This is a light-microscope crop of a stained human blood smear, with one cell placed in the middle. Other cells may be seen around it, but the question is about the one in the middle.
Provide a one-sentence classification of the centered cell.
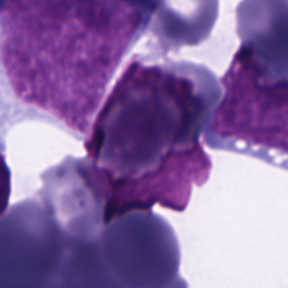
The cell nearest the centre of this crop is a myeloblast.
